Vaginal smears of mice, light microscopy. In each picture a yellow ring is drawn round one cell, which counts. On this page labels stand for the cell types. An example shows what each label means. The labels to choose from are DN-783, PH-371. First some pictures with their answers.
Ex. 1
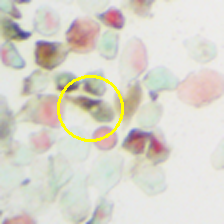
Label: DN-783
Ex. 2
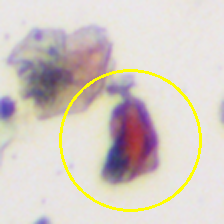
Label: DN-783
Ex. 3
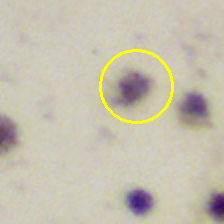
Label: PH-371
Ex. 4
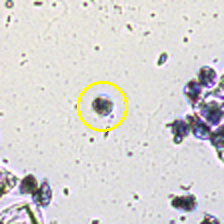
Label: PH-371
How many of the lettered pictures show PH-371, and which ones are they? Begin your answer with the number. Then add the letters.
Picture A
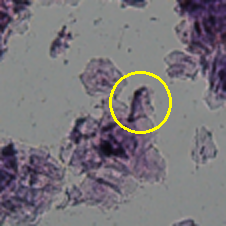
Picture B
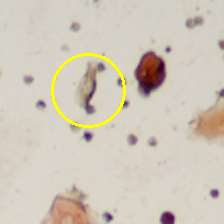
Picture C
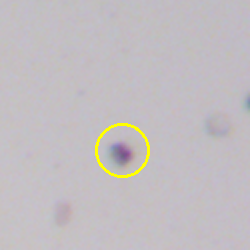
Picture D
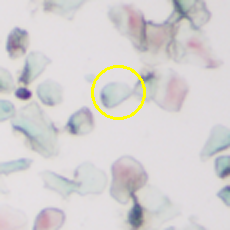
1: C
